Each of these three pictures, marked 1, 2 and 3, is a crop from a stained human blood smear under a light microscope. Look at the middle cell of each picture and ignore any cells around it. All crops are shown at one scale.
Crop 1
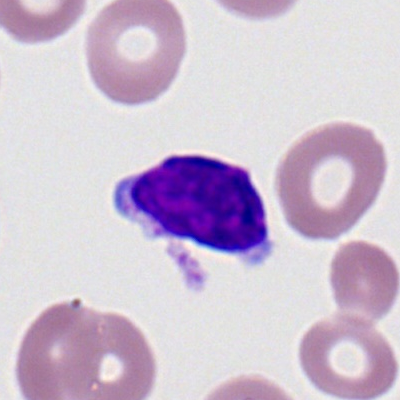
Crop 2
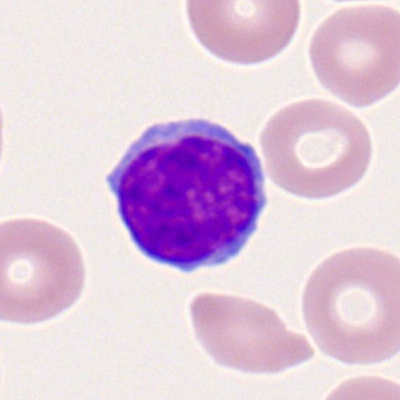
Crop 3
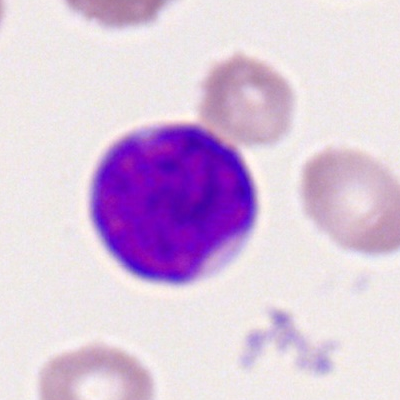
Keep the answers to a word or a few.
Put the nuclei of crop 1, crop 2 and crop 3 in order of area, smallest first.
1, 2, 3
